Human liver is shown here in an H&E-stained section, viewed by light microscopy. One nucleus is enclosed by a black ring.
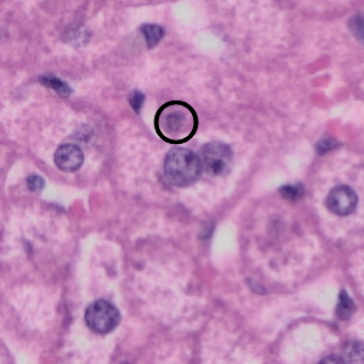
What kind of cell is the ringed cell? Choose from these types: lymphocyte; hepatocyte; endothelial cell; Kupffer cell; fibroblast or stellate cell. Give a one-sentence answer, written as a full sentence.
As a matter of cell type, the ringed cell is a Kupffer cell.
